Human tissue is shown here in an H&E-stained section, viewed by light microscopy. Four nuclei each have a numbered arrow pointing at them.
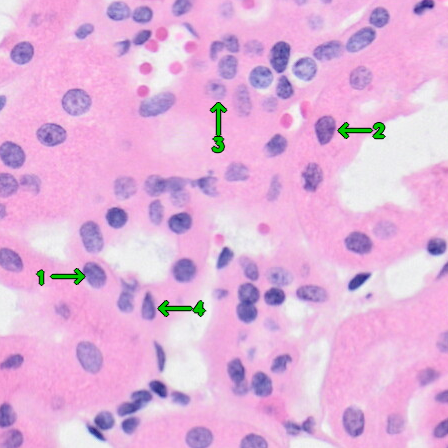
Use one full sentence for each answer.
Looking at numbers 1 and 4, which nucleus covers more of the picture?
The larger nucleus is 1, at roughly 1.5 times the area of 4.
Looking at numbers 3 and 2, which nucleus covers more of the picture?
At about 1.5 times the area of nucleus 3, nucleus 2 is the larger of the two.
